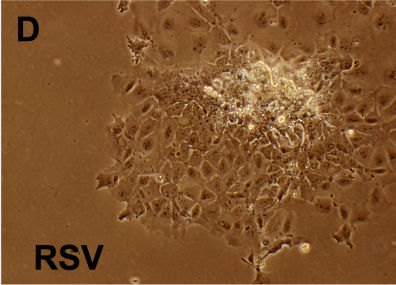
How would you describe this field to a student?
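Individual cells show a rounded nucleus within a grainy cytoplasm. Only a few cells with thin extensions lie apart from the colony edge.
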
